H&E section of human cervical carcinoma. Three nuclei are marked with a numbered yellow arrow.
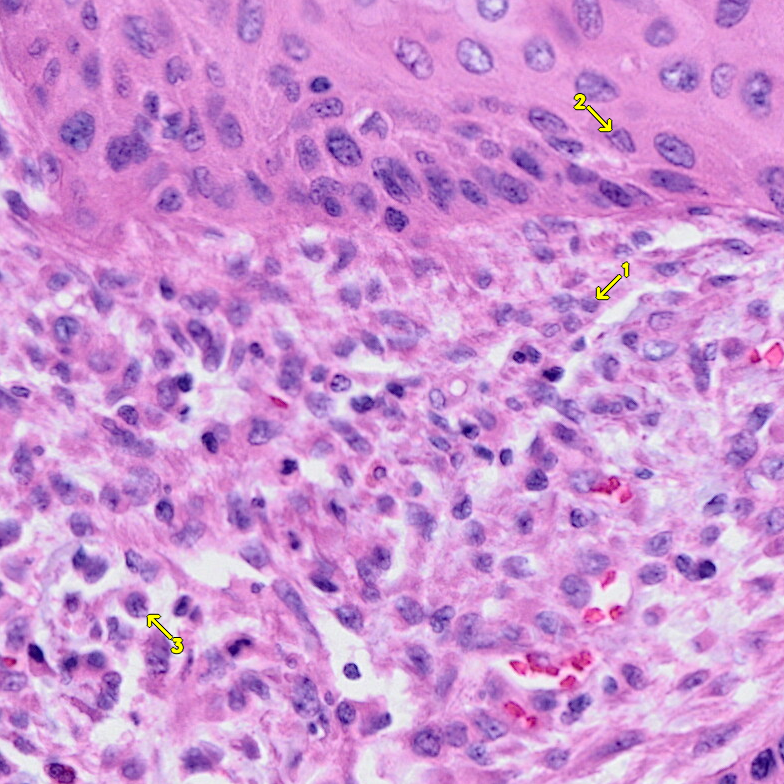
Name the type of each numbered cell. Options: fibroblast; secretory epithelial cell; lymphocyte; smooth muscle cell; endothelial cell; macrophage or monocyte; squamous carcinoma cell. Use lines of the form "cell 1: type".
cell 1: fibroblast
cell 2: squamous carcinoma cell
cell 3: macrophage or monocyte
